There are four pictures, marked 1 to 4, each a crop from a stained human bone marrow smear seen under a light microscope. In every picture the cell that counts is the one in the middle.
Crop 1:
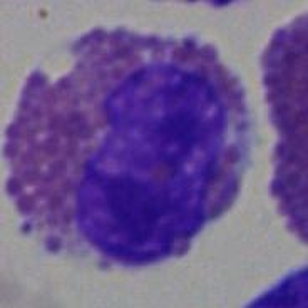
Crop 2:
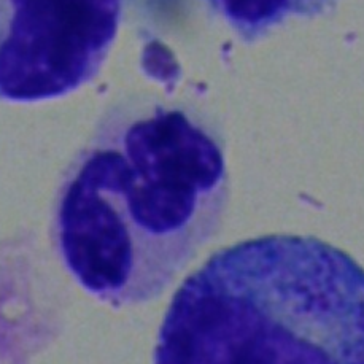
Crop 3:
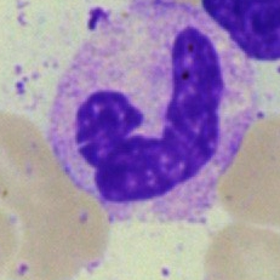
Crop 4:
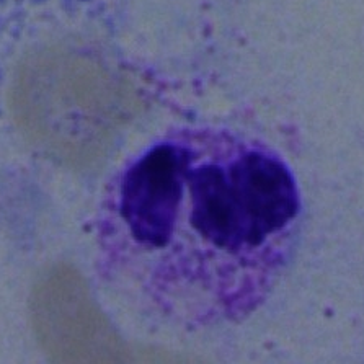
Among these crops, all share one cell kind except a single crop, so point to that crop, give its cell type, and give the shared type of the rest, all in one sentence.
Crop 1 alone is an eosinophil, and the other crops are all segmented neutrophils.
